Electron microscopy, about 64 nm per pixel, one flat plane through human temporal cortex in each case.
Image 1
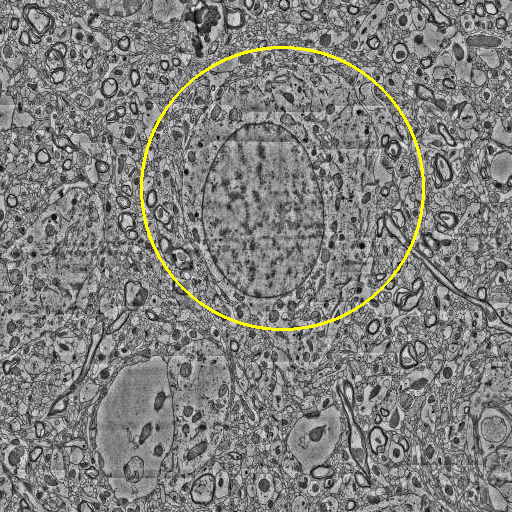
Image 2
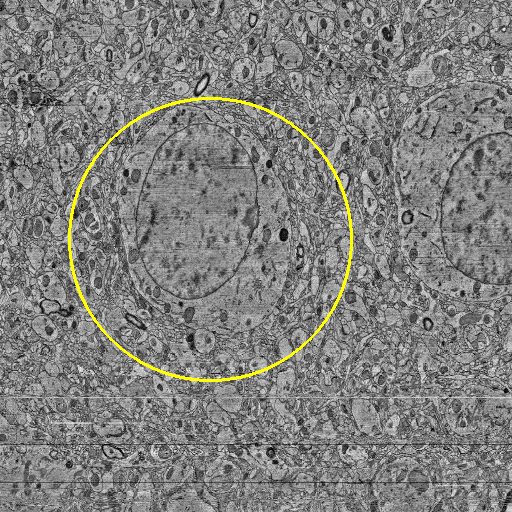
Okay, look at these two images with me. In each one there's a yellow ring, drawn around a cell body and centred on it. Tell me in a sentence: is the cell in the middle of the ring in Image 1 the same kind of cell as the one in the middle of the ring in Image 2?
No, they're two kinds of cell.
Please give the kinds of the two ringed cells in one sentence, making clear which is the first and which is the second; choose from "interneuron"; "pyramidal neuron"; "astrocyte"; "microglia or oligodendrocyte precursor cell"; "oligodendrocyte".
In the second picture the ringed cell is a pyramidal neuron; in the first it is an interneuron.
